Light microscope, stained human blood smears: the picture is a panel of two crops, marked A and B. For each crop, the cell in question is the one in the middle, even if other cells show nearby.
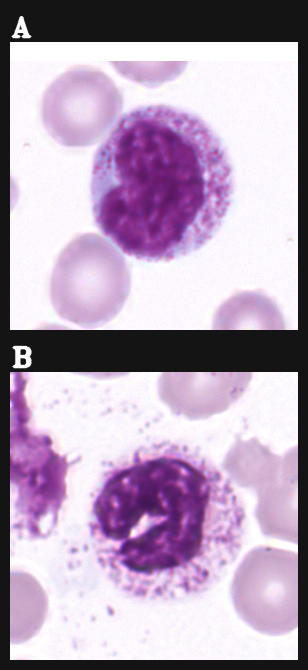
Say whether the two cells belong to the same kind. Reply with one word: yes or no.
no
